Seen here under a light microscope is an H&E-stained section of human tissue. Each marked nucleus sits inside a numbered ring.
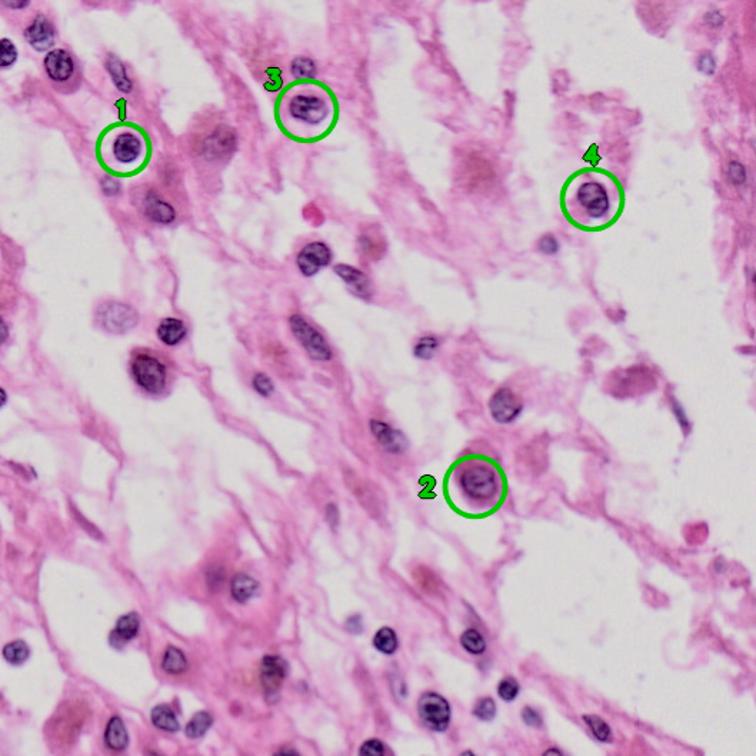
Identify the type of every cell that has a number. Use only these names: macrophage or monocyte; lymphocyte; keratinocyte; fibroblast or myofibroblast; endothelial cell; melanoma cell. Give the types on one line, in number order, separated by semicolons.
lymphocyte; macrophage or monocyte; lymphocyte; macrophage or monocyte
